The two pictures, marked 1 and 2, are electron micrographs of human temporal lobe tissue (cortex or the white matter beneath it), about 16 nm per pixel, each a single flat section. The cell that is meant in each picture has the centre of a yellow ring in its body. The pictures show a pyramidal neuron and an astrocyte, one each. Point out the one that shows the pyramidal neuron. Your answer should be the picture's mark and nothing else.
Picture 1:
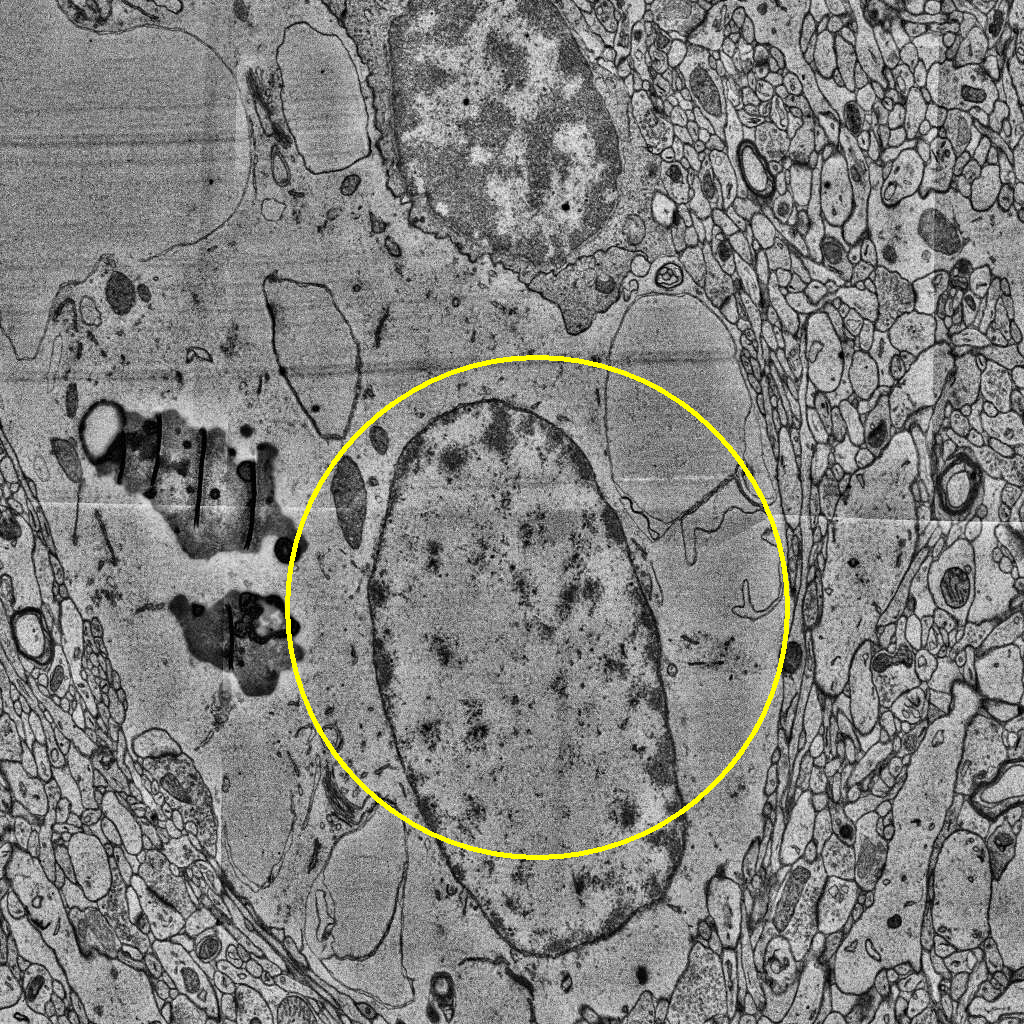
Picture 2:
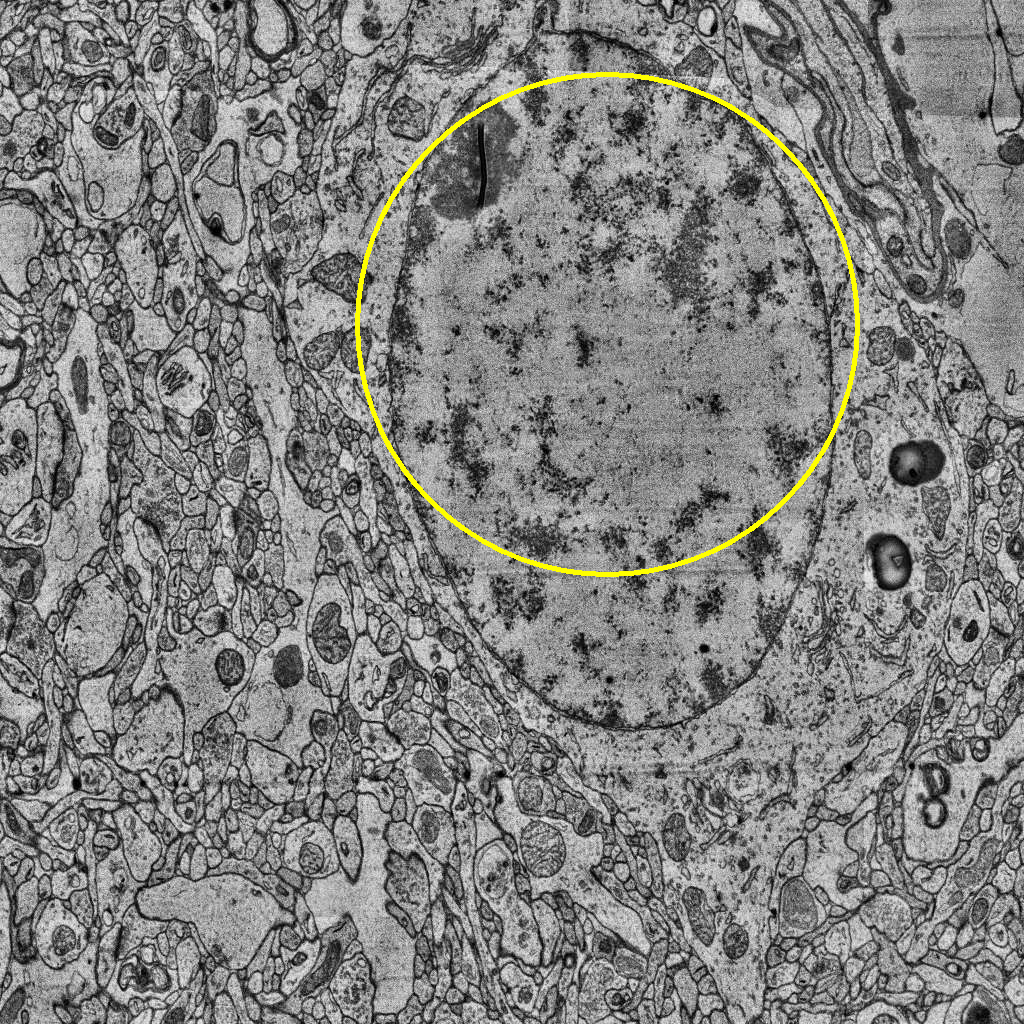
2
